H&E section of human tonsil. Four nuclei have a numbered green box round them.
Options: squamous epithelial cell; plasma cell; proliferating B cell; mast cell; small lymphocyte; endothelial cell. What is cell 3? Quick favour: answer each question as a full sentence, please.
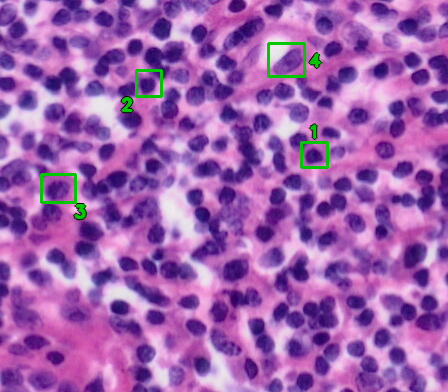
The identity of cell 3 is that of a plasma cell.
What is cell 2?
Identified as a small lymphocyte is the cell bearing the number 2.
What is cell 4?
Number 4 among the marked cells is an endothelial cell.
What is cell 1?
The cell pointed out by number 1 is a plasma cell.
